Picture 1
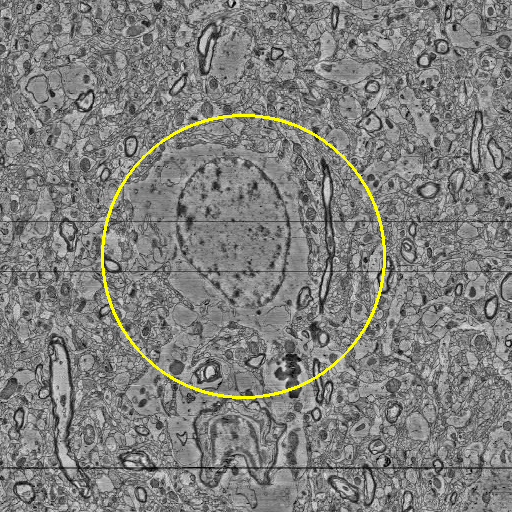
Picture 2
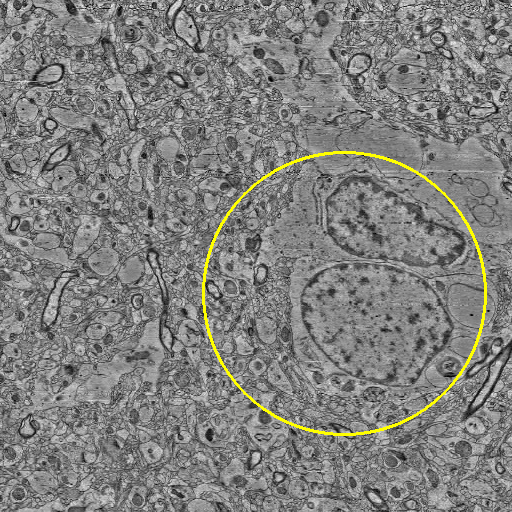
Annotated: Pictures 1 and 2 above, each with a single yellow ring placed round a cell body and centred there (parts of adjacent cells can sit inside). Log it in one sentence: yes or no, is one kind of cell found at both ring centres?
Yes, the ring centres of the two pictures hold cells of one kind.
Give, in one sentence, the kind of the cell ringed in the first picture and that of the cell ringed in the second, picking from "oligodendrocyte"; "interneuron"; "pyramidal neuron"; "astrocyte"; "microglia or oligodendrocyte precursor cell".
Each cell, in the first picture and the second, is an astrocyte.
